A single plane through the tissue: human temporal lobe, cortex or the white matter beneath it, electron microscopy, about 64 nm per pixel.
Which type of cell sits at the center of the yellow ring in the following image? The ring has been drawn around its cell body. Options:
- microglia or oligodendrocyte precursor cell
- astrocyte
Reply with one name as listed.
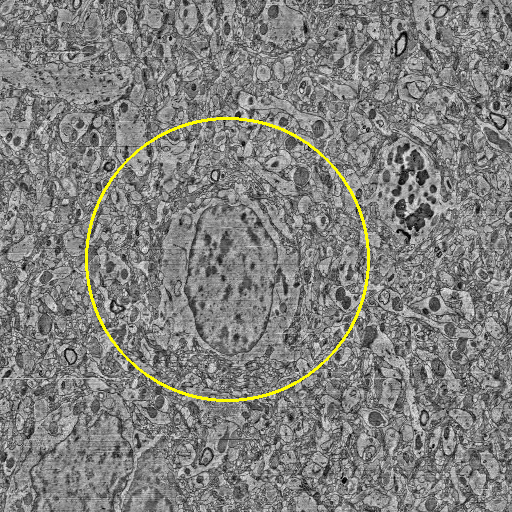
astrocyte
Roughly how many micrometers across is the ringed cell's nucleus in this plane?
The ringed cell's nucleus is roughly 10 by 6 micrometres and clearly longer than it is wide in this plane.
